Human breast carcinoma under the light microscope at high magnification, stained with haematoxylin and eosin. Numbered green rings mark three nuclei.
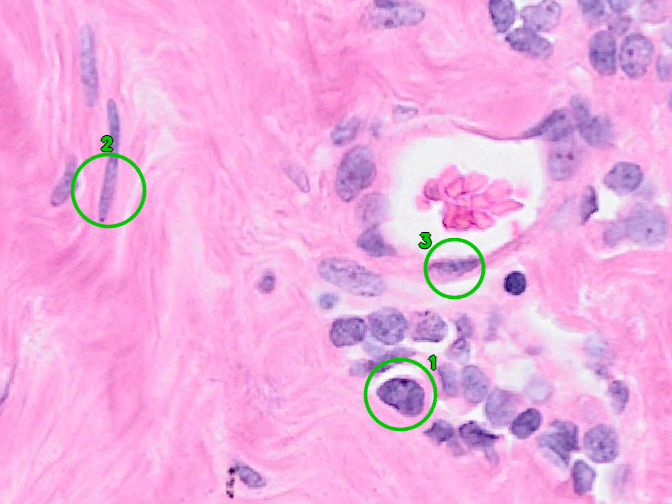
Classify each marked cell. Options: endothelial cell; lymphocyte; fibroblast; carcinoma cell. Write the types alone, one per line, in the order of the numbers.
carcinoma cell
fibroblast
endothelial cell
